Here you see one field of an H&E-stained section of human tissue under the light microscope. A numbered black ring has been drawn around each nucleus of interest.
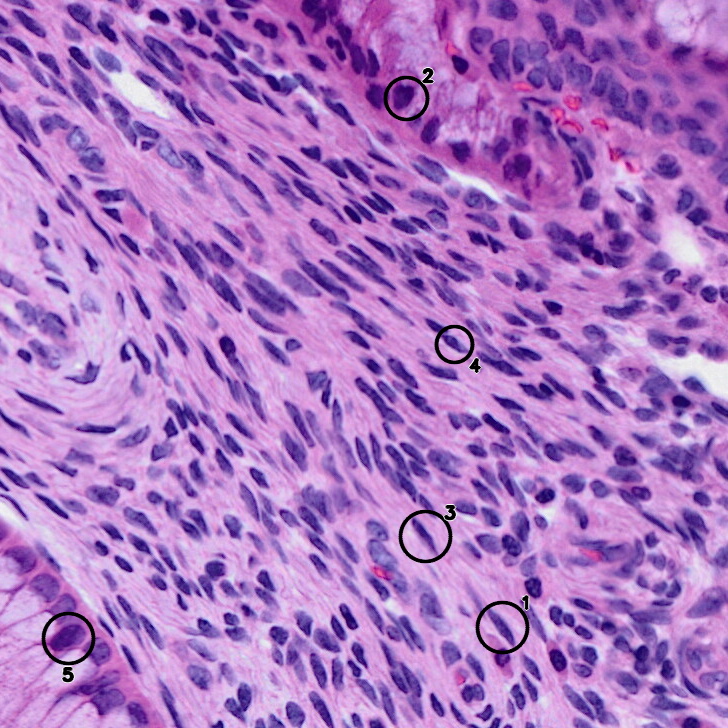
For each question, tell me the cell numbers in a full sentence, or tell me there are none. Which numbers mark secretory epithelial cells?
The cells with numbers 2 and 5 are secretory epithelial cells by type.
